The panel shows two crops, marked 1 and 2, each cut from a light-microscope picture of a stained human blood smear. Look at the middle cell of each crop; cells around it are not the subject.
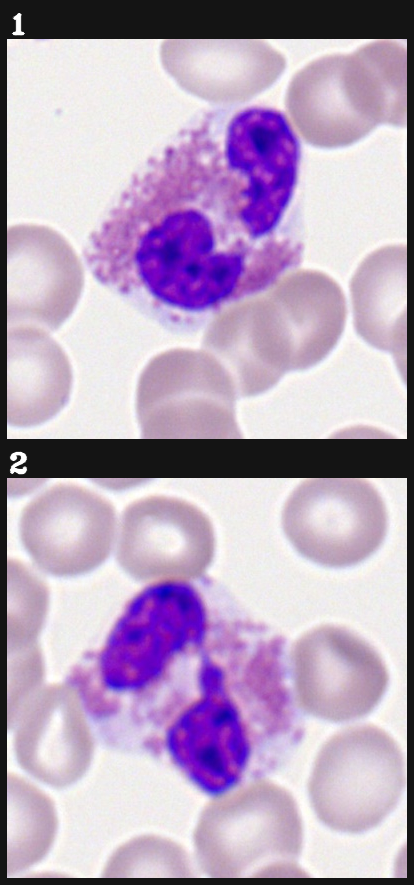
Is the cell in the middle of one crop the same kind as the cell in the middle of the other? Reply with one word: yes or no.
yes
